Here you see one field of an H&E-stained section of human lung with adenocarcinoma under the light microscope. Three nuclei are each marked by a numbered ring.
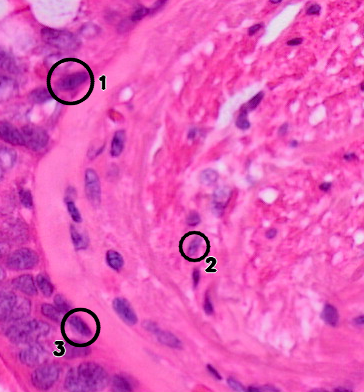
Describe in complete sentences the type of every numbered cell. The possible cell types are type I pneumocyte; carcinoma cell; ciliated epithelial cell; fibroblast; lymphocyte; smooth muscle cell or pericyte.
Cell 1 is a ciliated epithelial cell, cell 2 is a smooth muscle cell or pericyte and cell 3 is a ciliated epithelial cell.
